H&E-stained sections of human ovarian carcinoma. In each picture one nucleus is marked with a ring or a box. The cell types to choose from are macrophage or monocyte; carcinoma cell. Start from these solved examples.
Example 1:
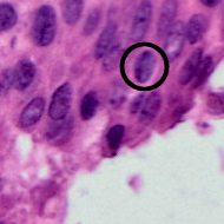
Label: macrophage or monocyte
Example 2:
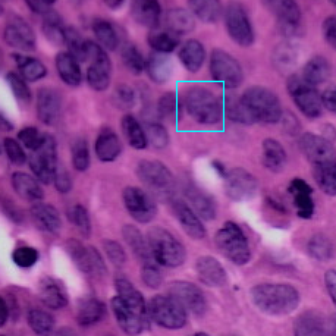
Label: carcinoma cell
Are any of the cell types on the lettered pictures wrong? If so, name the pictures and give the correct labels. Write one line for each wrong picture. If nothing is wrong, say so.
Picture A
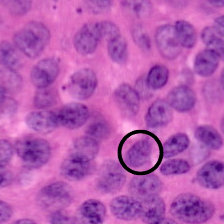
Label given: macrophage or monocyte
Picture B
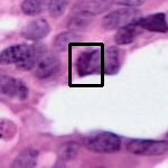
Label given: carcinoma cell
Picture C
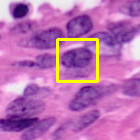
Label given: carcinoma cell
A is labelled macrophage or monocyte; correct label: carcinoma cell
